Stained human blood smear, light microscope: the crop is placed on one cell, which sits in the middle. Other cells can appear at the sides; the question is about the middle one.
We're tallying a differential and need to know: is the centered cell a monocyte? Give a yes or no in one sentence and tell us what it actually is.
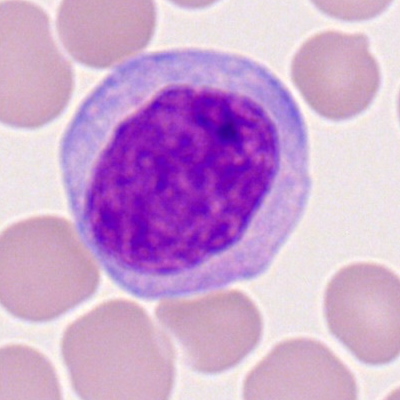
Yes, the cell at the center of the crop is a monocyte.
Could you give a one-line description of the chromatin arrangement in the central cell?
The chromatin within its nucleus forms coarse clumps.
